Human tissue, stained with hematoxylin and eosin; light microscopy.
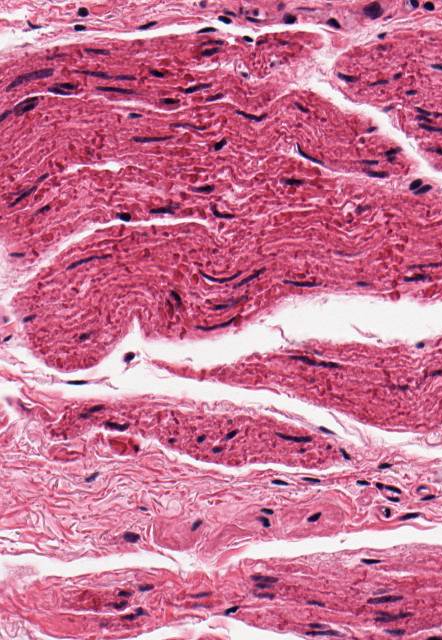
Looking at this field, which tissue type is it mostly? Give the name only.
smooth muscle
